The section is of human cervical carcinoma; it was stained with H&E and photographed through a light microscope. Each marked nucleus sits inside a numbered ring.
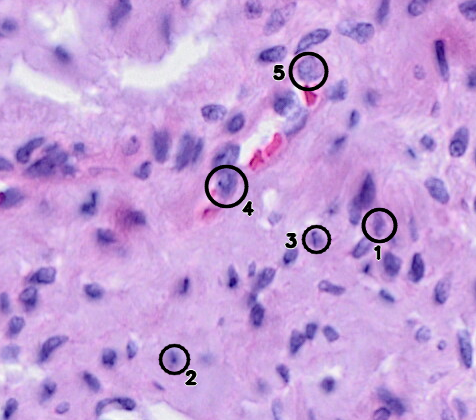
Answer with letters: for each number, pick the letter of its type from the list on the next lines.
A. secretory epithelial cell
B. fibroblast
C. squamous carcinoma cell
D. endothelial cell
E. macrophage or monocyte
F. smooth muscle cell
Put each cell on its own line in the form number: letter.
1: B
2: B
3: B
4: D
5: D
